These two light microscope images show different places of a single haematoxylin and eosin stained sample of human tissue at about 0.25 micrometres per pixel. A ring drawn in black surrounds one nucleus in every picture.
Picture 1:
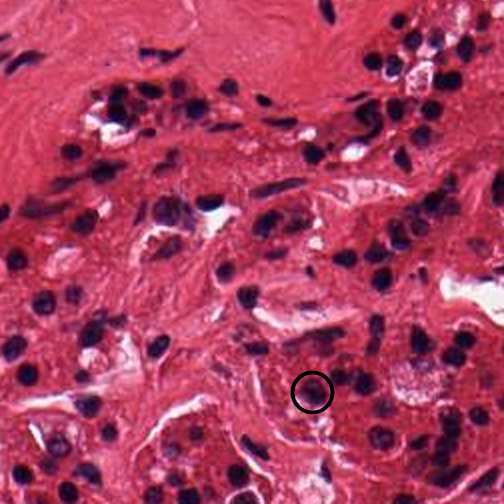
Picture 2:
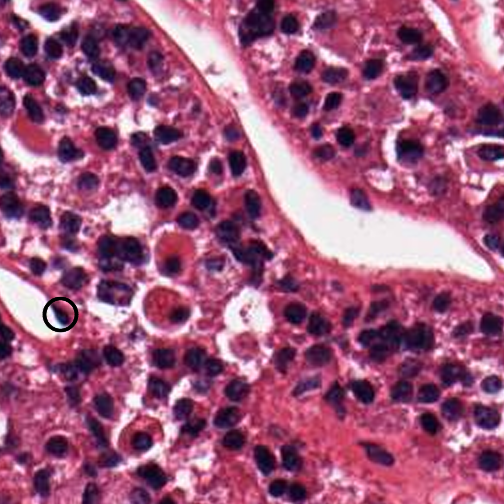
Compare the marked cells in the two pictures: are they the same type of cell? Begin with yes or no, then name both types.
No, the first is an anterior pituitary cell and the second an endothelial cell.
